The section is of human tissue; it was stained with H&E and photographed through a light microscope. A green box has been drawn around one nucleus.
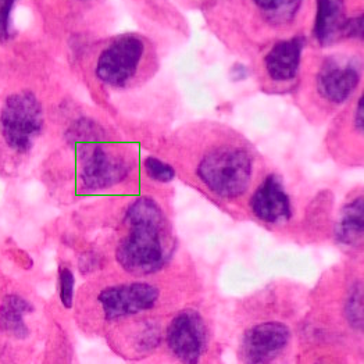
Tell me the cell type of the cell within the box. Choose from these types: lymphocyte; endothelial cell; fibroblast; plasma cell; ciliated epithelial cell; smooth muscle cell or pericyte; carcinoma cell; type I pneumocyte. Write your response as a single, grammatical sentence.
The identity of the cell within the box: it is a carcinoma cell.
